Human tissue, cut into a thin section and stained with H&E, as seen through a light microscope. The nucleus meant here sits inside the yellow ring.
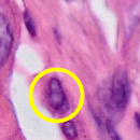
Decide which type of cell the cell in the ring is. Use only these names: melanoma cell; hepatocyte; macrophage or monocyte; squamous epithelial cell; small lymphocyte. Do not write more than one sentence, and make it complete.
Within this tissue, the cell in the ring is a macrophage or monocyte.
